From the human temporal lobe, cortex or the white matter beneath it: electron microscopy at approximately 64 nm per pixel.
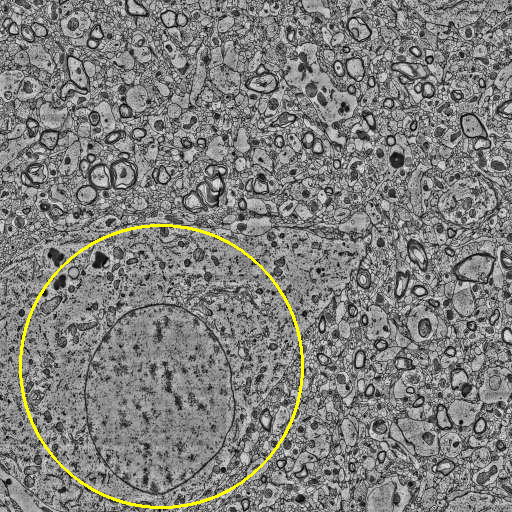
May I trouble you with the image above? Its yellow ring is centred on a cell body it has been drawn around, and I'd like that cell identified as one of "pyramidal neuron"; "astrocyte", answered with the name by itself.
pyramidal neuron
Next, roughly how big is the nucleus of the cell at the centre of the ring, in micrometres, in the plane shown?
About 12 by 10 micrometres in this plane.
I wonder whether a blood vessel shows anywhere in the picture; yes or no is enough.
No, no blood vessel can be seen.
